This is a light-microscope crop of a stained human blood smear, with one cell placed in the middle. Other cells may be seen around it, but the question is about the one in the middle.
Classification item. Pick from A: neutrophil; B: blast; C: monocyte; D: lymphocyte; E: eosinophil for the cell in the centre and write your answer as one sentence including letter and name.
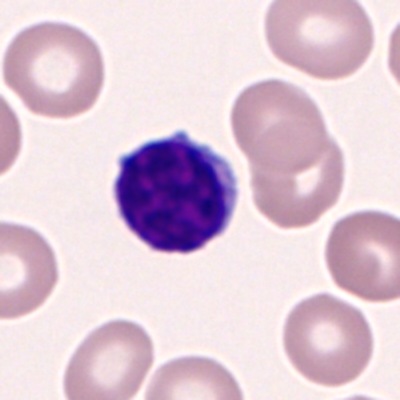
In the centre of the crop there is a lymphocyte, making option D correct.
